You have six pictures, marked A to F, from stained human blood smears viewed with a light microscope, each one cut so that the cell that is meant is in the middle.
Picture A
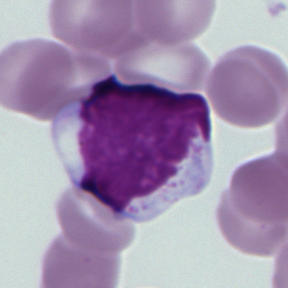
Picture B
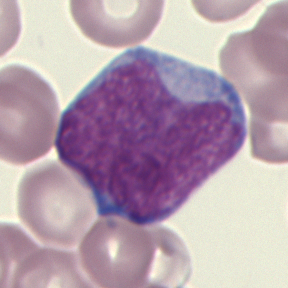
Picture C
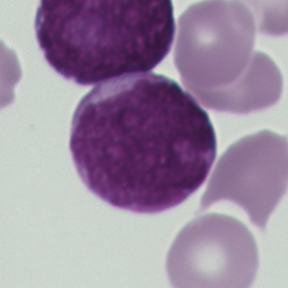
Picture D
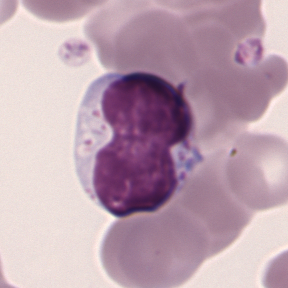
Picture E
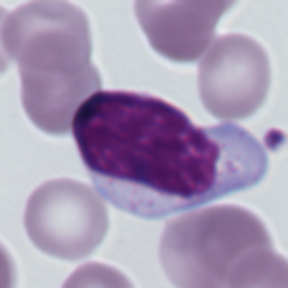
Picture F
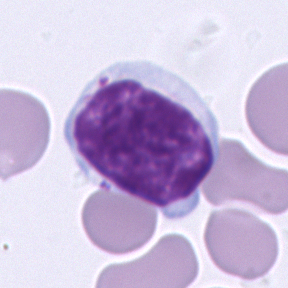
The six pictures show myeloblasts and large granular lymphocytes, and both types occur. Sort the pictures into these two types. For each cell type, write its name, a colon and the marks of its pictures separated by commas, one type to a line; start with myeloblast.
myeloblast: B, C
large granular lymphocyte: A, D, E, F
